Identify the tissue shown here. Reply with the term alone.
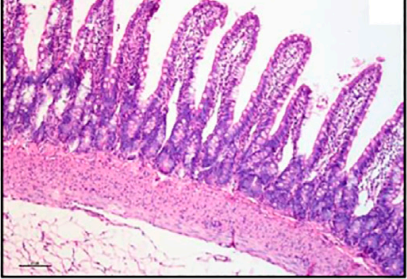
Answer: Small bowel.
